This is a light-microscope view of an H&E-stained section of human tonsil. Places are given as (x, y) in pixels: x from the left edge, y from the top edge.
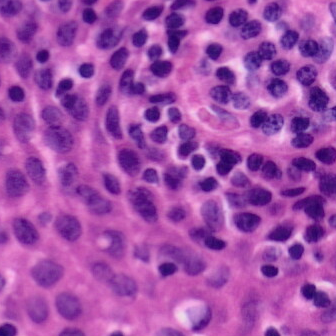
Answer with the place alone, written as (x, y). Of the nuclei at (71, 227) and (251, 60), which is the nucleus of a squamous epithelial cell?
(71, 227)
